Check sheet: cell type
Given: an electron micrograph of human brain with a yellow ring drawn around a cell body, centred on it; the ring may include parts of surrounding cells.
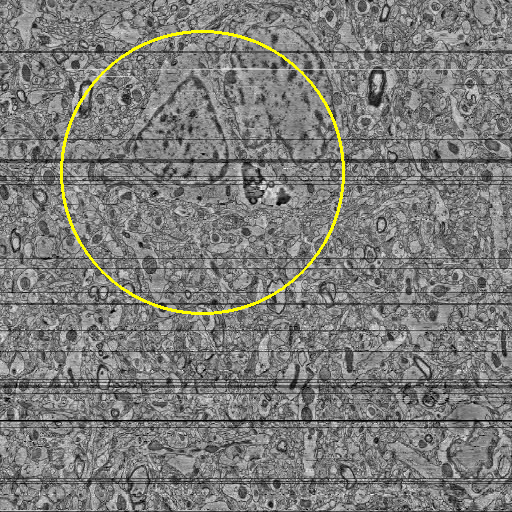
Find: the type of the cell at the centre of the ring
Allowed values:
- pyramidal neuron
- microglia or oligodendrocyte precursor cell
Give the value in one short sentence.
Here the ringed cell is a microglial cell or oligodendrocyte precursor cell.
